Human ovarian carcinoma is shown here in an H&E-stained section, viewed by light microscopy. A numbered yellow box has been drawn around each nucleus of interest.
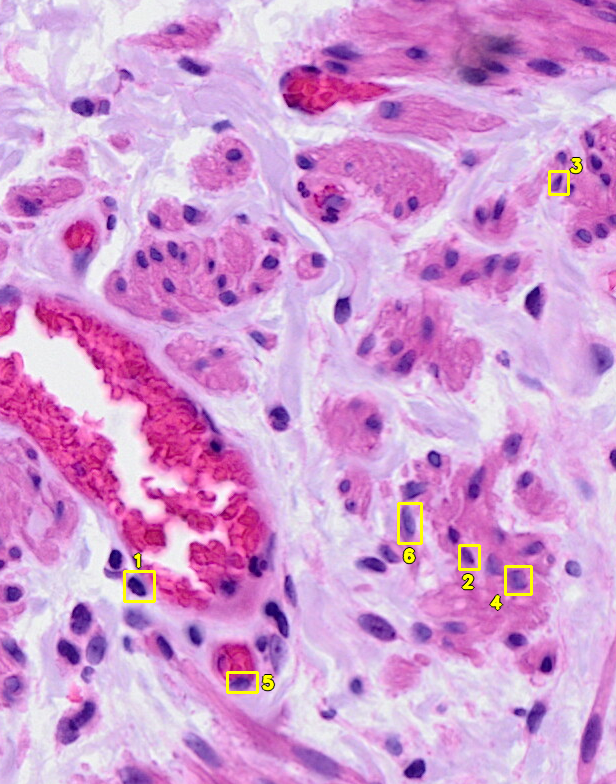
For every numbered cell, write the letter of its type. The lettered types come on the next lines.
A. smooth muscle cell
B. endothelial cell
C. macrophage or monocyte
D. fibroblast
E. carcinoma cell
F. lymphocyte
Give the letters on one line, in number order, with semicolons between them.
F; A; A; A; B; A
